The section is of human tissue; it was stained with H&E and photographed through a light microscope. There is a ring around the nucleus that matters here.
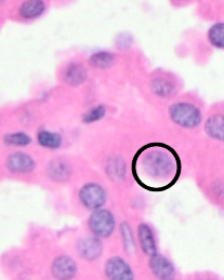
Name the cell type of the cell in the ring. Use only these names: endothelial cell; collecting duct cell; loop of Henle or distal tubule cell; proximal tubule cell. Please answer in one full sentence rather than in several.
What the cell in the ring represents is a loop of Henle or distal tubule cell.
